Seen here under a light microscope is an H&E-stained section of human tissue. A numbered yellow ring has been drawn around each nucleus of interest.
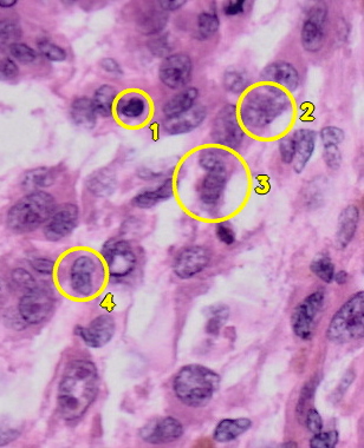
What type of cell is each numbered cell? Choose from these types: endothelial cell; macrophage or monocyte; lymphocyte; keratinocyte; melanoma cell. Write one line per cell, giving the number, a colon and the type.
1: lymphocyte
2: melanoma cell
3: melanoma cell
4: macrophage or monocyte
